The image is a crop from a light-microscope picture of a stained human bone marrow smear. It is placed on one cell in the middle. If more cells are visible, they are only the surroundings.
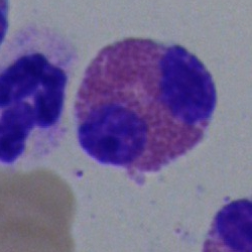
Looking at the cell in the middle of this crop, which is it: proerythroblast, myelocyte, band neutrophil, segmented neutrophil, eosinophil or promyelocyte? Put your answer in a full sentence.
On this slide crop, the central cell is an eosinophil.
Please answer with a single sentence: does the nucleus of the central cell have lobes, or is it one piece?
The nucleus is segmented, with two or more lobes present.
